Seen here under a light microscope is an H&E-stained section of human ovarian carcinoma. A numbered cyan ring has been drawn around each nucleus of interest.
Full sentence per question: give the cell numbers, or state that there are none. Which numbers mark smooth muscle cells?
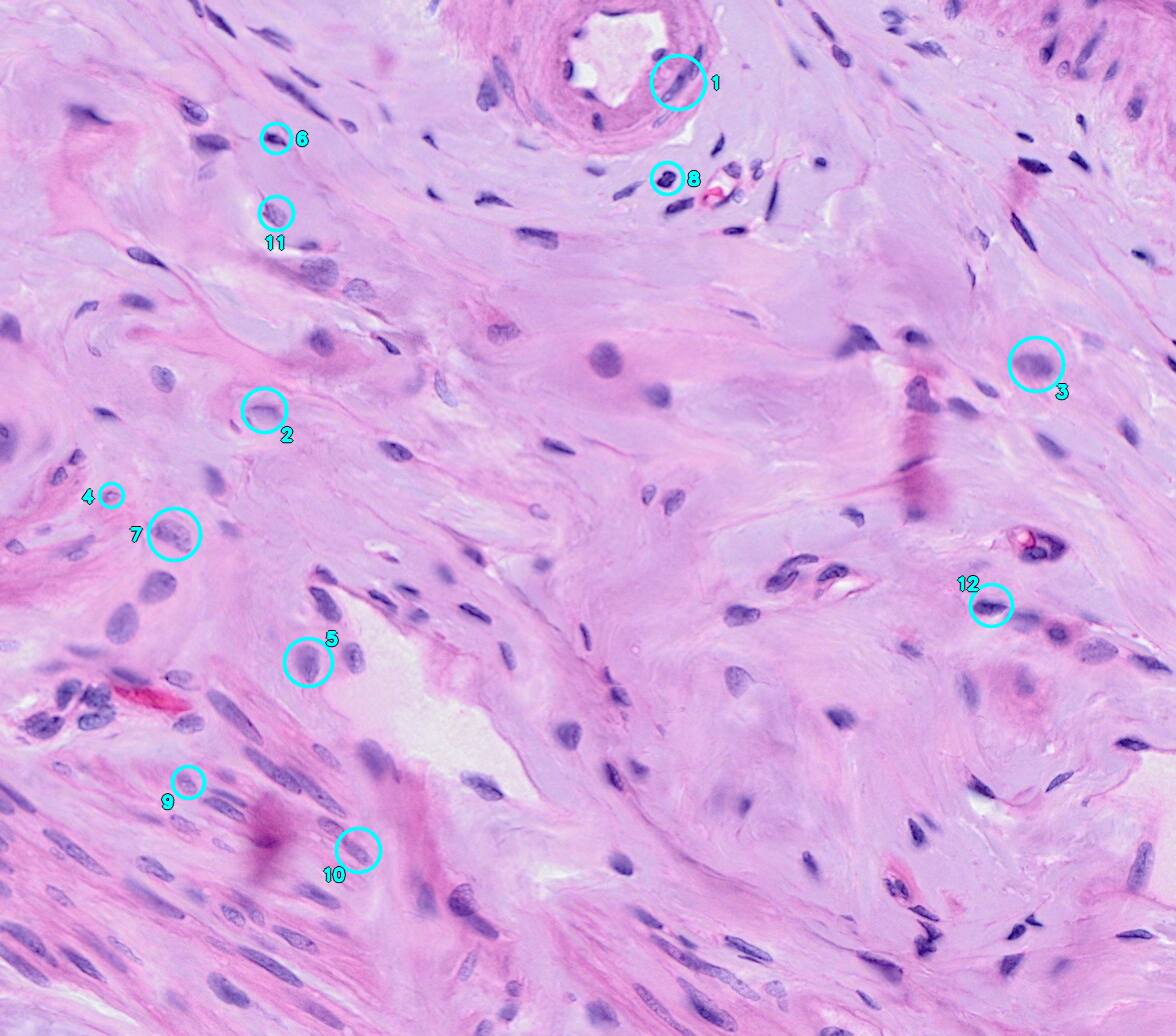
Cells numbered 1, 4, 9 and 10 belong to the group of smooth muscle cells.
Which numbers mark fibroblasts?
In this section, the cells labelled 2, 3, 5, 6, 7, 11 and 12 are fibroblasts.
